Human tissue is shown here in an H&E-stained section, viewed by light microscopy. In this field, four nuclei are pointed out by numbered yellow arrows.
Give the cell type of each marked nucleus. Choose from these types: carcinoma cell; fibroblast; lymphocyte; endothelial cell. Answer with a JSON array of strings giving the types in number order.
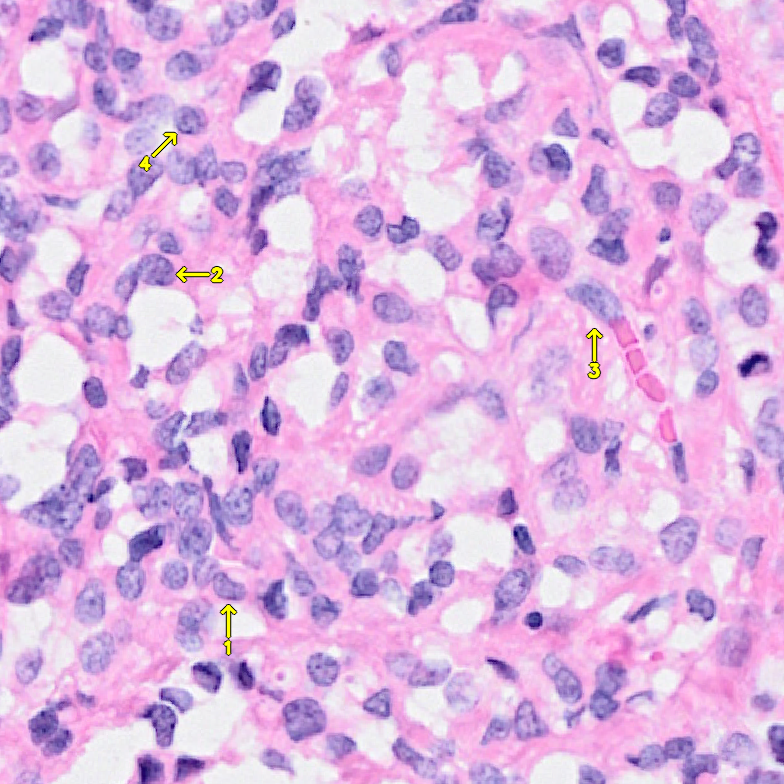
["carcinoma cell", "carcinoma cell", "endothelial cell", "carcinoma cell"]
